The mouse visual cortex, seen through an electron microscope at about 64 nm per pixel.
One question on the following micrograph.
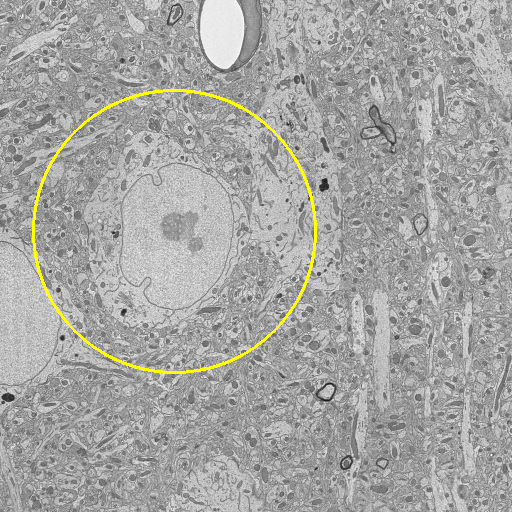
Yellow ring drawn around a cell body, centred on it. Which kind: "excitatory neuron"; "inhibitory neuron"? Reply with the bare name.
excitatory neuron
